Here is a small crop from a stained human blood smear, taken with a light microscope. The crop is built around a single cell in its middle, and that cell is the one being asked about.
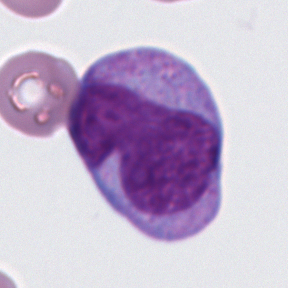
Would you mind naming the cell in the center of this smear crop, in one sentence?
In the middle of this smear crop is an atypical promyelocyte.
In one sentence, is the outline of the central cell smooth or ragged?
The cell shows a smooth outline that lacks any surface projections.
